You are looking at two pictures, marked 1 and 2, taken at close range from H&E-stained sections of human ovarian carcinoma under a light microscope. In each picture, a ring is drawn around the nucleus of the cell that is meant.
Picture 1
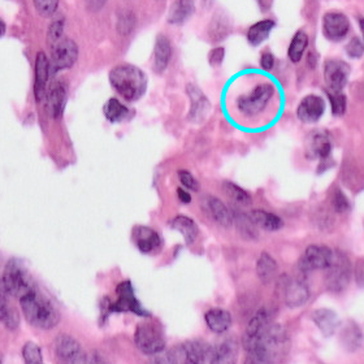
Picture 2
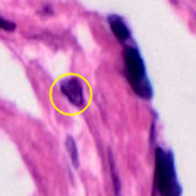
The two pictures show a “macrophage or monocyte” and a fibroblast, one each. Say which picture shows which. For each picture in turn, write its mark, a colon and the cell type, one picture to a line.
1: macrophage or monocyte
2: fibroblast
